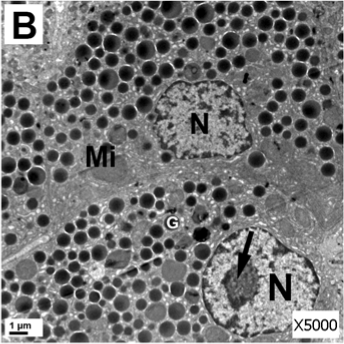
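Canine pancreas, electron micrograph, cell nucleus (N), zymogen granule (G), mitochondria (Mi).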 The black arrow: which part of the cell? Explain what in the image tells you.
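The arrow points to a dark, irregular body within a nucleus. The body is denser than the rest of the nuclear content.
Conclusion: nucleolus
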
